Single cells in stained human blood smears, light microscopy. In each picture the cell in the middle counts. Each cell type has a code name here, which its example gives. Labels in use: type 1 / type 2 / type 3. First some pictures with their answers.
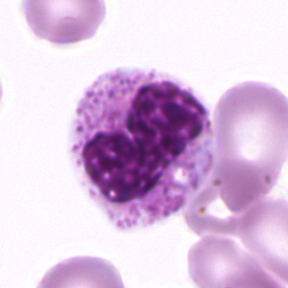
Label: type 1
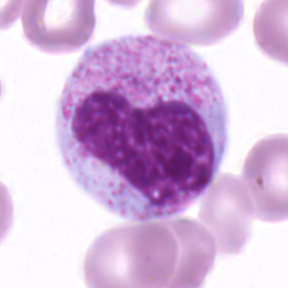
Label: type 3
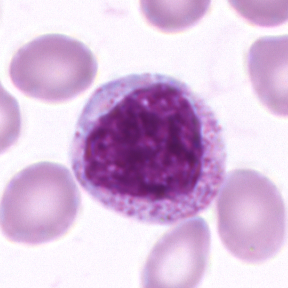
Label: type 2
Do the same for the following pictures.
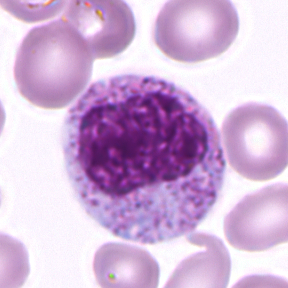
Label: type 3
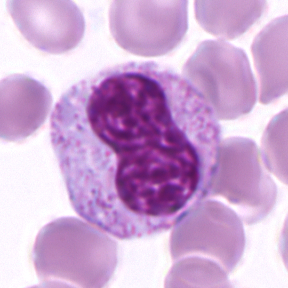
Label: type 3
